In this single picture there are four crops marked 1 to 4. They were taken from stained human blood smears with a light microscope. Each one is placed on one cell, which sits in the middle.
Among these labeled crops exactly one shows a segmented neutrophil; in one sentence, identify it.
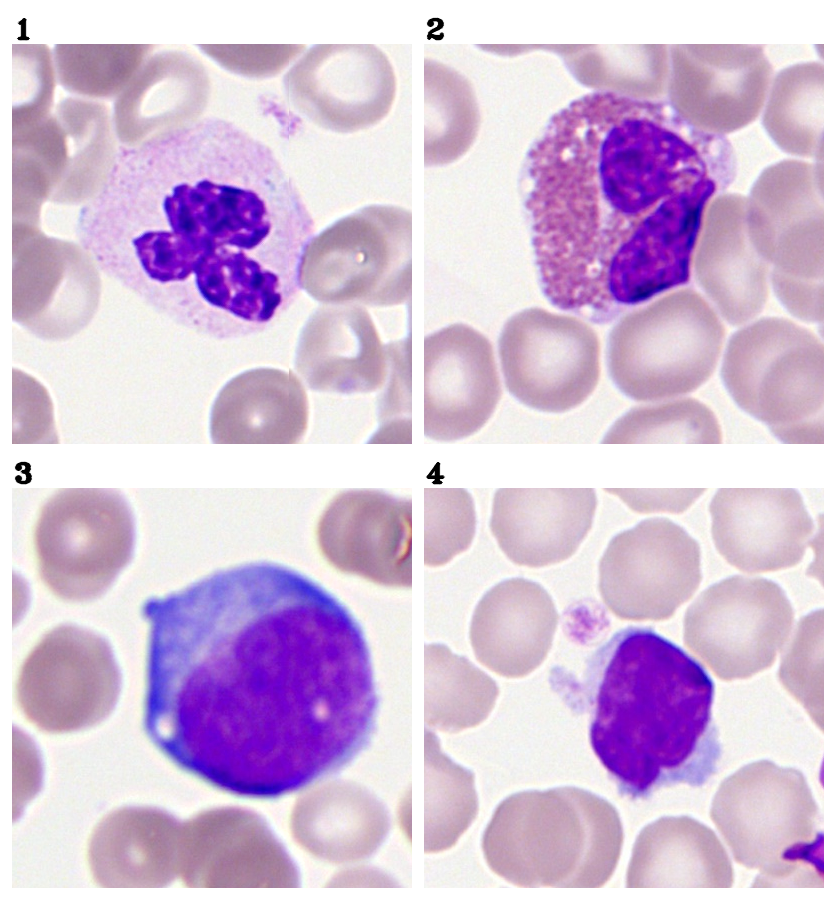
The crop marked 1 is the one in which a segmented neutrophil is shown.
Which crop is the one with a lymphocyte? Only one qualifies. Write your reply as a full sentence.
Crop 4 is the single crop that shows a lymphocyte.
